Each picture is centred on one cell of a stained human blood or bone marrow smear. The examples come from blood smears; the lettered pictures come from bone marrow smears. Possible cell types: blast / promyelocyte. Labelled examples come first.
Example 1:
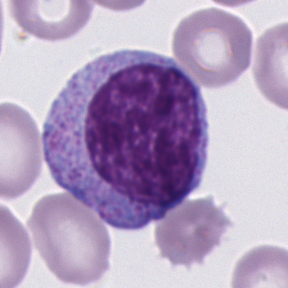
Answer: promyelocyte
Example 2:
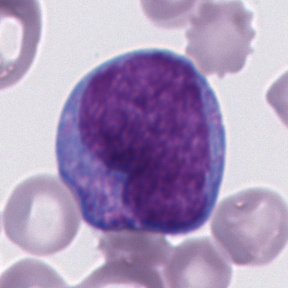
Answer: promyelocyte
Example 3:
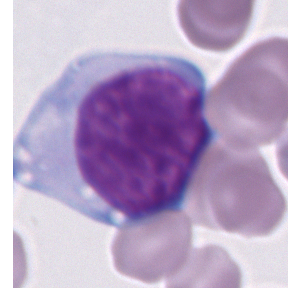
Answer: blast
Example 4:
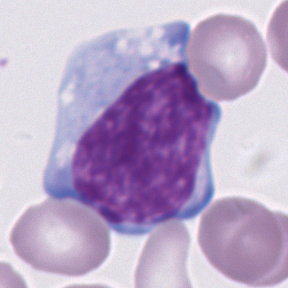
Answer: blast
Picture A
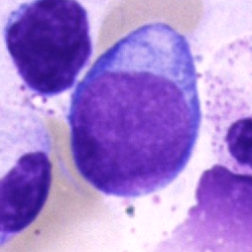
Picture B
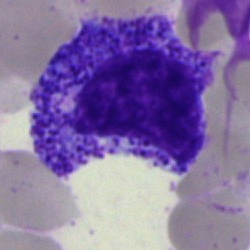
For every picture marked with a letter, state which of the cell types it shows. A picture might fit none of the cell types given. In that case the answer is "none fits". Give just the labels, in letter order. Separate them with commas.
blast, promyelocyte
